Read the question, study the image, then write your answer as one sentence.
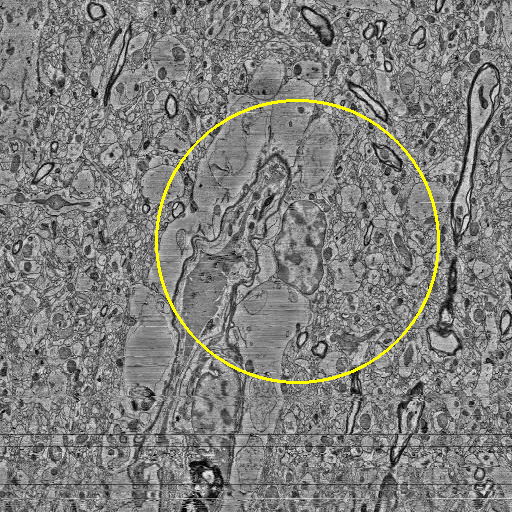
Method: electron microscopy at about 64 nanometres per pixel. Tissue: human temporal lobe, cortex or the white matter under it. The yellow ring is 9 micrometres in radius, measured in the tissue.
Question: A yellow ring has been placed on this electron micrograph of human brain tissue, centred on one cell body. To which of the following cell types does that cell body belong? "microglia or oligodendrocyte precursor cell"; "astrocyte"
That cell body belongs to a microglial cell or oligodendrocyte precursor cell.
